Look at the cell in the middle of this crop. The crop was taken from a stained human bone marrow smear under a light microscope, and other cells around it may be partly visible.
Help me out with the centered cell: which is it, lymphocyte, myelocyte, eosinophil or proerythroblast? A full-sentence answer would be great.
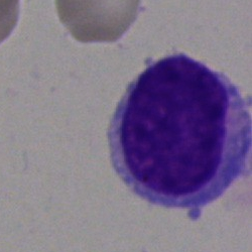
What sits at the centre of this crop is a lymphocyte.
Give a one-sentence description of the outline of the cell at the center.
Seen at its edge, the cell is not smooth but ragged or projecting.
